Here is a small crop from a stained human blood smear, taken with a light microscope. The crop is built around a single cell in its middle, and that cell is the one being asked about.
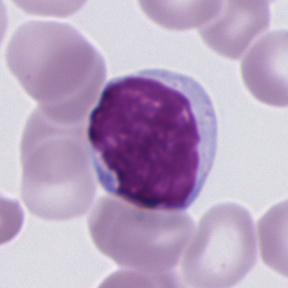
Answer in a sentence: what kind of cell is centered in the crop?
Answering briefly, the cell in the middle is a large granular lymphocyte.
